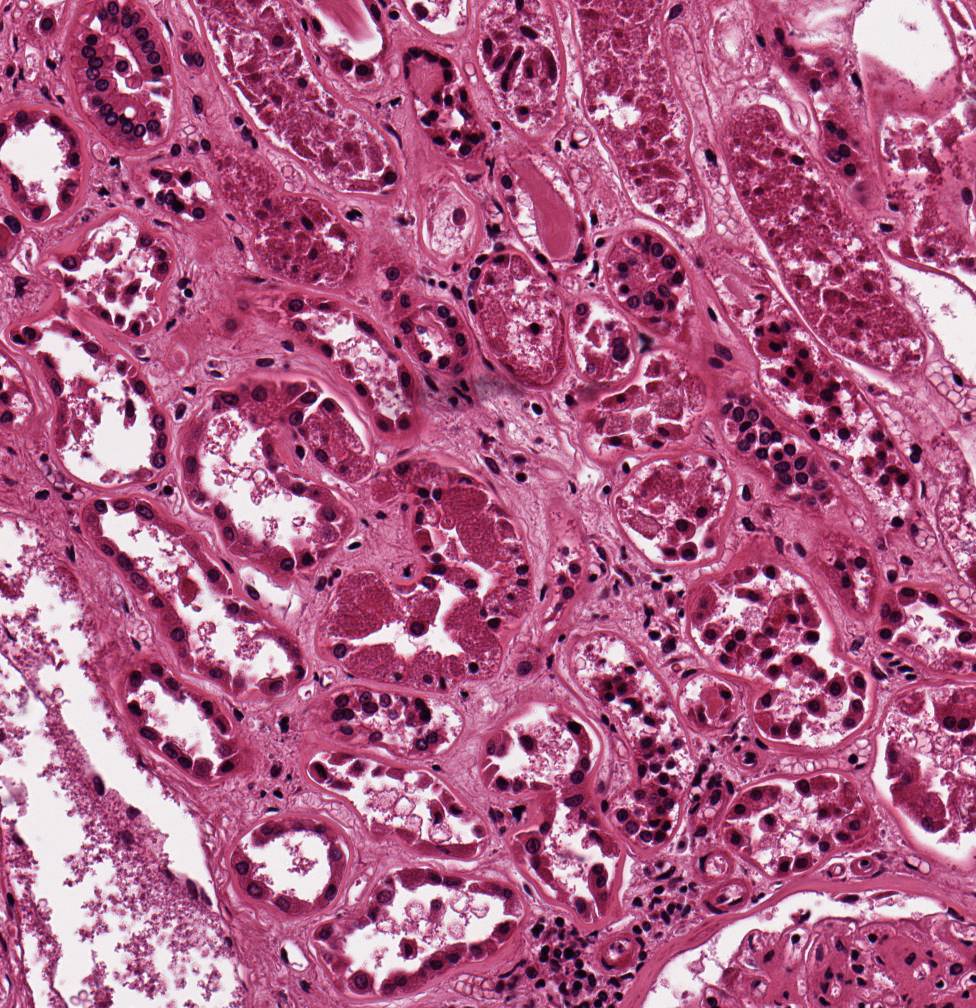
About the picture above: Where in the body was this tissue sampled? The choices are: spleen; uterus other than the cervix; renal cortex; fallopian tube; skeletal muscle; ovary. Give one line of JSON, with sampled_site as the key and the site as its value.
{"sampled_site": "renal cortex"}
